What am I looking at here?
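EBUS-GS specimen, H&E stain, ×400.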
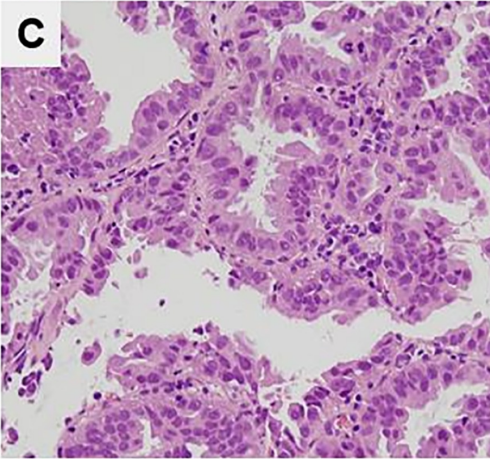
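Tumor cells of an adenocarcinoma arranged in crowded layers lining gland-like and papillary spaces. The nuclei are enlarged, oval and purple, stratified and overlapping, with moderate pink cytoplasm. Thin strands of pink stroma with small spindle-shaped cells separate the glandular structures. Open empty lumens lie between the cell layers.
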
